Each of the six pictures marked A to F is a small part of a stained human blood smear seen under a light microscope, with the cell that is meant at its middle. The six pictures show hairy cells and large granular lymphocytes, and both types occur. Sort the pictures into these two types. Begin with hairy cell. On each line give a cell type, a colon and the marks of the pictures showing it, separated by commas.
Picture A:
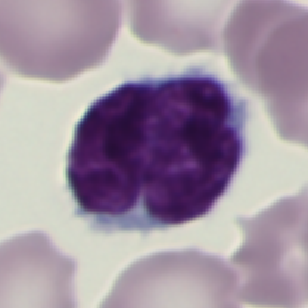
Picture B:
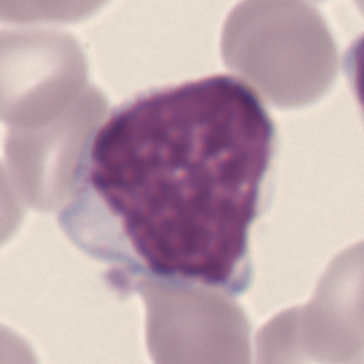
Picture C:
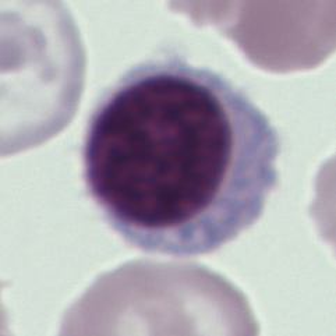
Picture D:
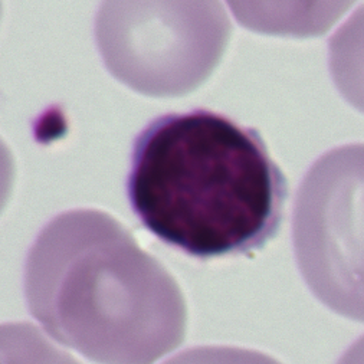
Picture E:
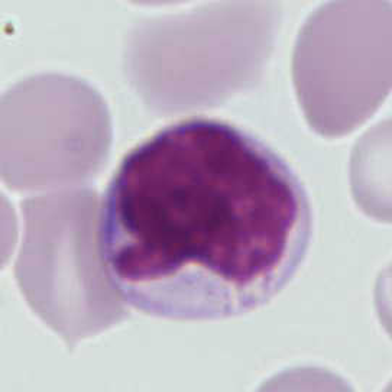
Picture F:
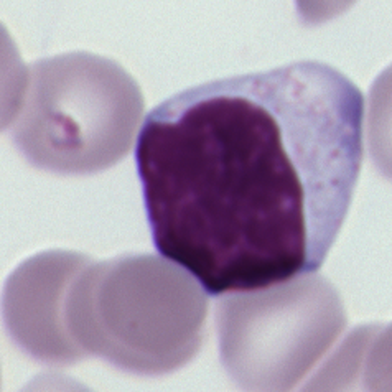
hairy cell: A, C
large granular lymphocyte: B, D, E, F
